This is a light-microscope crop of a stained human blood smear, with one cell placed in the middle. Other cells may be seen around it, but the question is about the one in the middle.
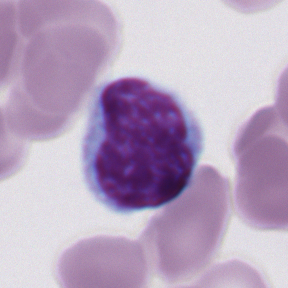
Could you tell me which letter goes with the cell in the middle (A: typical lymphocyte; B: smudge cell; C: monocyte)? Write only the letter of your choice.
A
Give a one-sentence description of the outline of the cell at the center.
Worth noting that the cell border is smooth and lacks projections.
